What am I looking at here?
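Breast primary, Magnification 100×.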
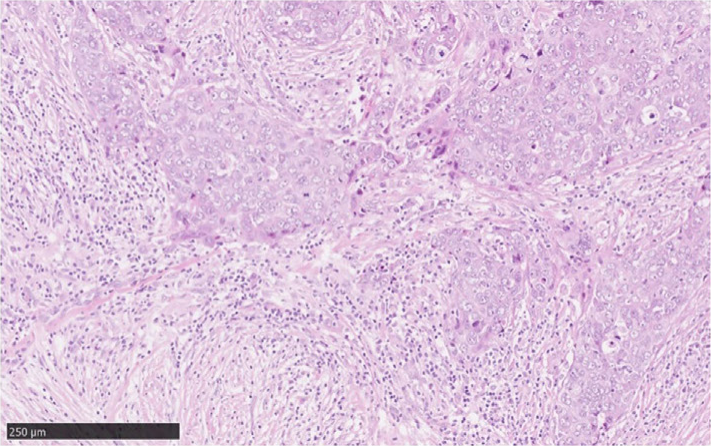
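The tumour cells are large and polygonal, with abundant pale pink cytoplasm and round vesicular nuclei, often with a visible nucleolus, packed in solid sheets. Between the nests, the fibrous stroma is crowded with small round cells with dark nuclei that press up against the edges of the tumour nests.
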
